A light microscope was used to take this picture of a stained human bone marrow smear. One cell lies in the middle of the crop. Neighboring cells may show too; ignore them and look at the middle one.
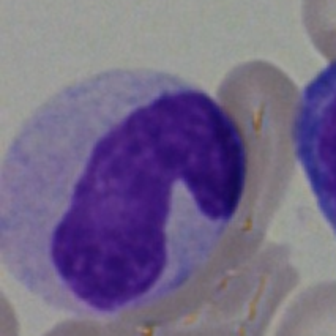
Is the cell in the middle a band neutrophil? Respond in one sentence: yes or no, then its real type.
Yes, it is a band neutrophil that occupies the centre of the crop.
